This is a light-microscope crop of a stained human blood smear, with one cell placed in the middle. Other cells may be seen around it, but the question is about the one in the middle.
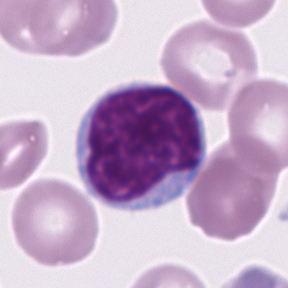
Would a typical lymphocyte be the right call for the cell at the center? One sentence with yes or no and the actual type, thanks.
Yes, the cell located at the center is a typical lymphocyte.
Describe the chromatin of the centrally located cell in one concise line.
One feature to record is coarsely clumped chromatin.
